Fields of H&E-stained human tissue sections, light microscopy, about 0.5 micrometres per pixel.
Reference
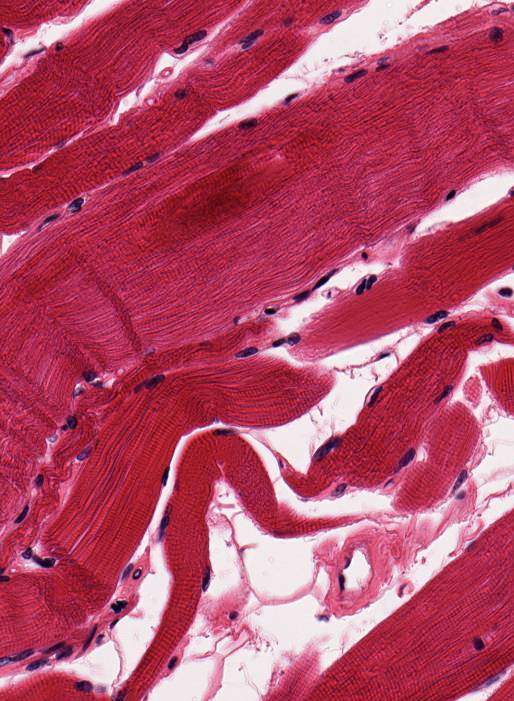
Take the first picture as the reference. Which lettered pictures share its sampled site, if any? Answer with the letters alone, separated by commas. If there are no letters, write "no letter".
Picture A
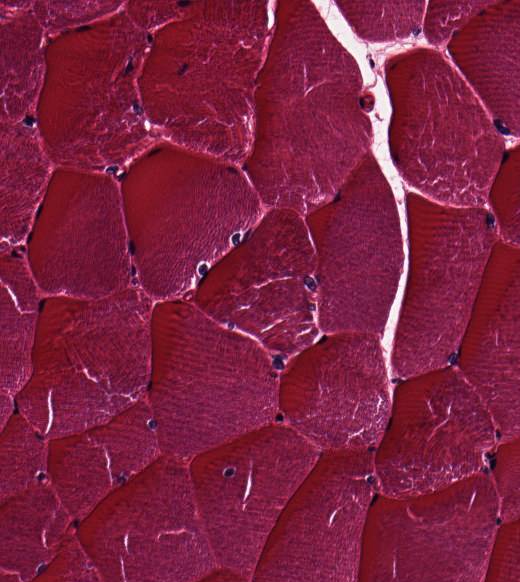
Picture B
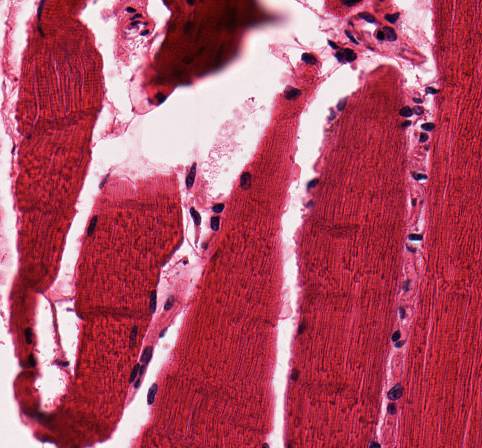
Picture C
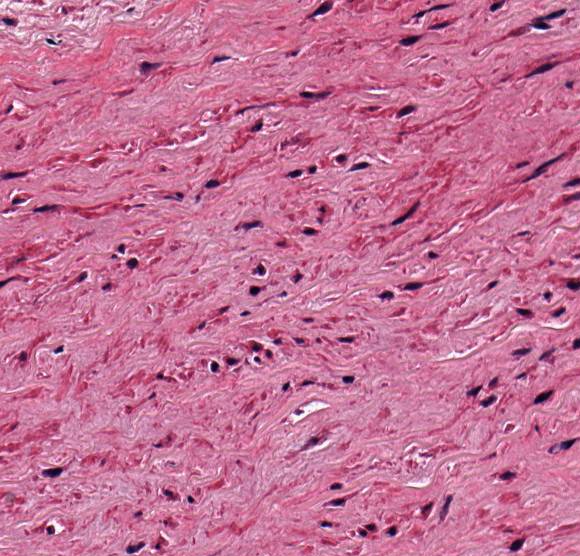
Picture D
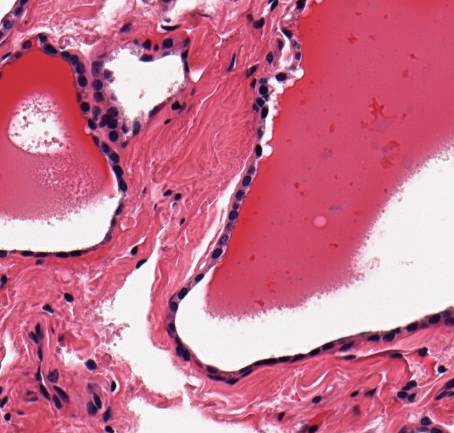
A, B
